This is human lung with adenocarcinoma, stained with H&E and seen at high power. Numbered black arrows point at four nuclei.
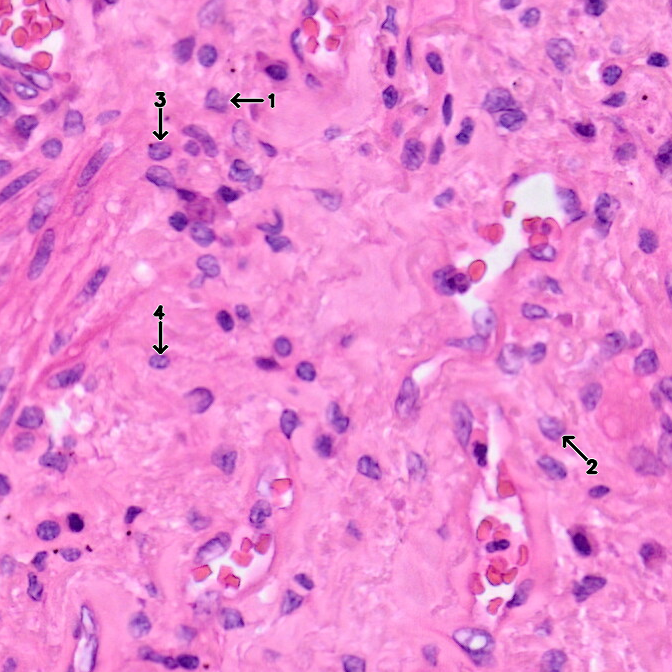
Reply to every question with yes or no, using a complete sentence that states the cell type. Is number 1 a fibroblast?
Yes, on this slide, the cell with number 1 is a fibroblast.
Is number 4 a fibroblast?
No, the cell labelled 4 is a mast cell and not a fibroblast.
